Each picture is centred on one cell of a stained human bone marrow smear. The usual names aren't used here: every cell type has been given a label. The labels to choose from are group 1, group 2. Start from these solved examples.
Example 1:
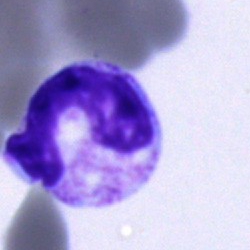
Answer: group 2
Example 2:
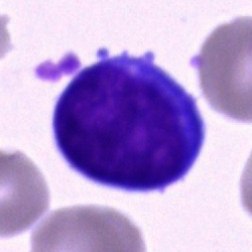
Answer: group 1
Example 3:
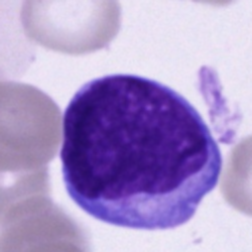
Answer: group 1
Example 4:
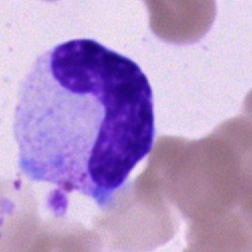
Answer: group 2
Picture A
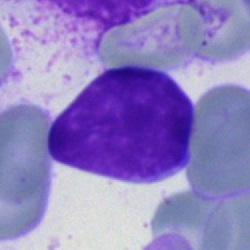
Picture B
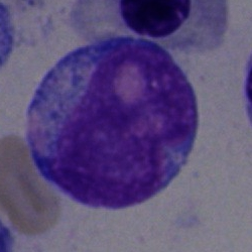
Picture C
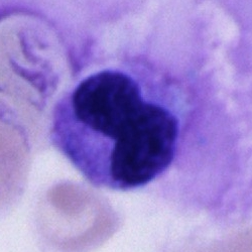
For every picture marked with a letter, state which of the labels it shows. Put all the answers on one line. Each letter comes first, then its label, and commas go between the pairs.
A group 1, B group 1, C group 2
